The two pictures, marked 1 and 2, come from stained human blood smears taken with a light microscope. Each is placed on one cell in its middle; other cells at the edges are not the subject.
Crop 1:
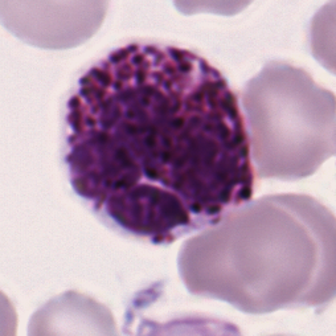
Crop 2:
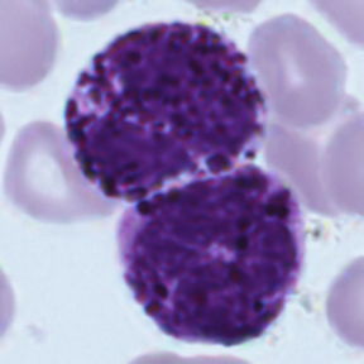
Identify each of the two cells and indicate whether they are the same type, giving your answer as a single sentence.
Yes, in both crops the centred cells are basophils.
